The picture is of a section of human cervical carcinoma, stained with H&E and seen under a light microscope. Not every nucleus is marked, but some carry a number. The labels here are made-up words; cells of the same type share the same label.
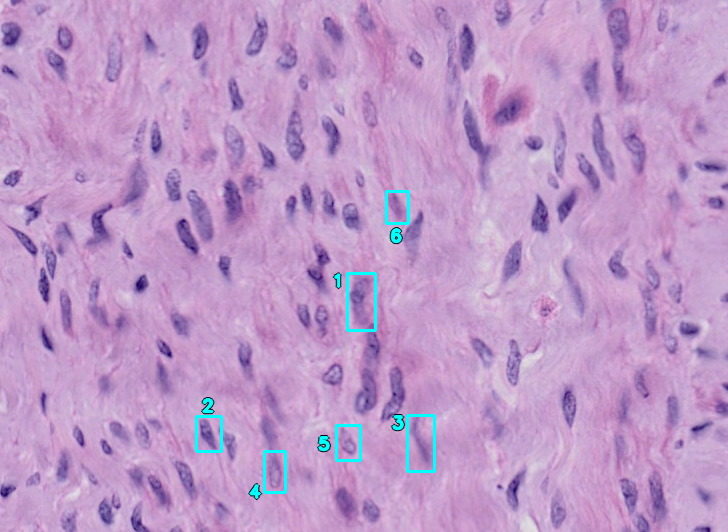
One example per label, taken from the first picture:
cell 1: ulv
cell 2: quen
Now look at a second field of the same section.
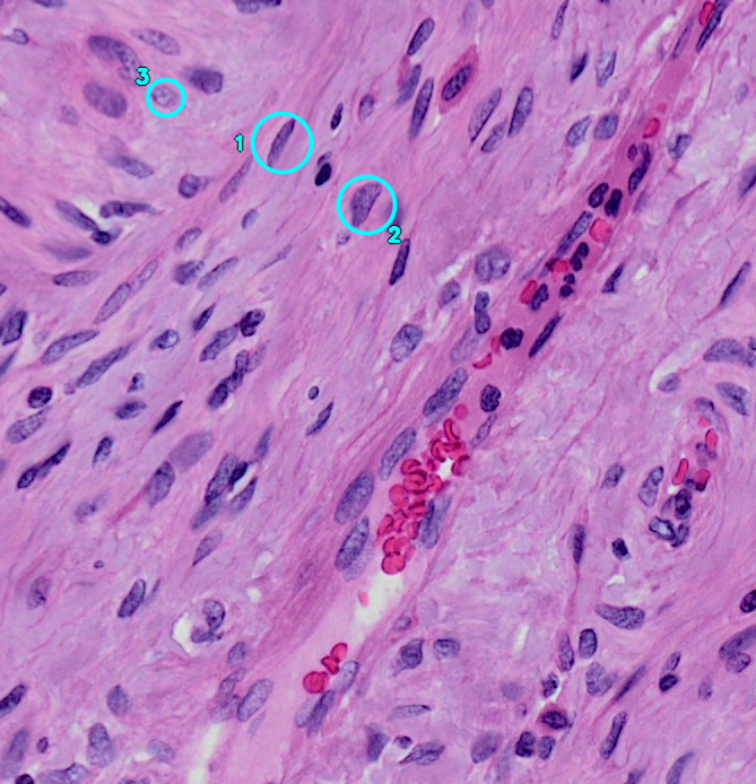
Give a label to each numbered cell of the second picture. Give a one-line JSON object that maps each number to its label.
{"1": "quen", "2": "quen", "3": "ulv"}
